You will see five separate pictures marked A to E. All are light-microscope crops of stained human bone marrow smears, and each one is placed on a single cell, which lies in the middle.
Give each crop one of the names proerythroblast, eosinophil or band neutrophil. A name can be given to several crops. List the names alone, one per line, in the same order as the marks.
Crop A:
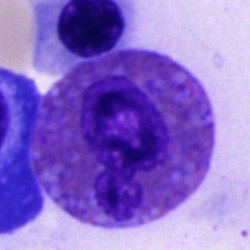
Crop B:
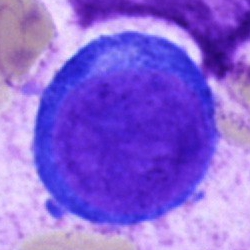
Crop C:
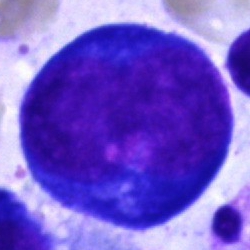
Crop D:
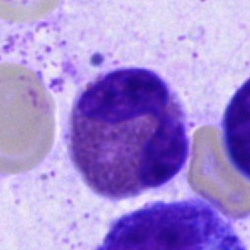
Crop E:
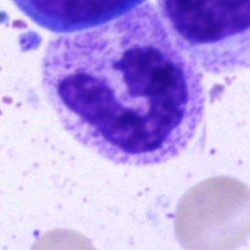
eosinophil
proerythroblast
proerythroblast
eosinophil
band neutrophil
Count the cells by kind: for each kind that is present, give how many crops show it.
eosinophil: 2
proerythroblast: 2
band neutrophil: 1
